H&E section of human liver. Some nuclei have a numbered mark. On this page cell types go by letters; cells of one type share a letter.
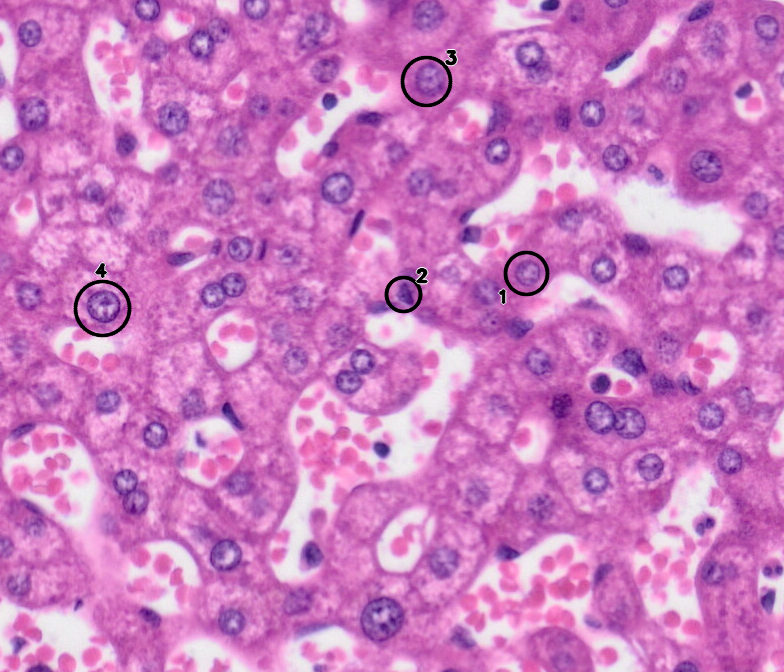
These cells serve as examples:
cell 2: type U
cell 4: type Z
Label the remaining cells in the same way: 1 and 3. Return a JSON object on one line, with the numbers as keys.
{"1": "type Z", "3": "type Z"}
